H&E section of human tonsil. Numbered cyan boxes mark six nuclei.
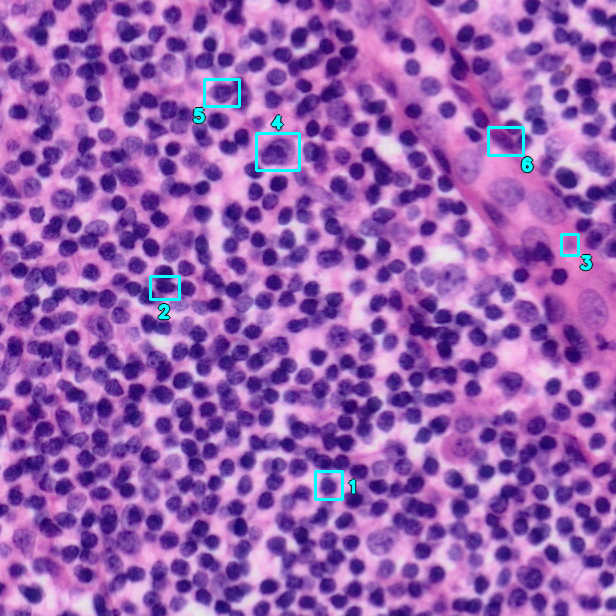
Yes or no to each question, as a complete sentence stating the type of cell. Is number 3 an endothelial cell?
Yes, on this slide, the cell with number 3 is an endothelial cell.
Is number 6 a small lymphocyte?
No, cell 6 is classified as an endothelial cell rather than a small lymphocyte.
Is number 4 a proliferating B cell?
Yes, in the section, number 4 is a proliferating B cell.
